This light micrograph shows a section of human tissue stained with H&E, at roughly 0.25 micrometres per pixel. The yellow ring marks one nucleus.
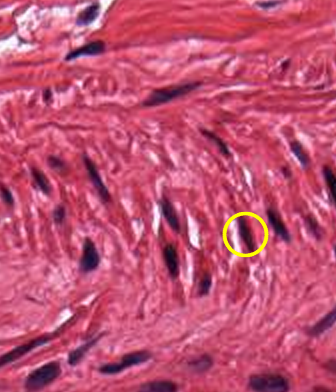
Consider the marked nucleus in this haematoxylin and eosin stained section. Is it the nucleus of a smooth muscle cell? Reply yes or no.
yes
